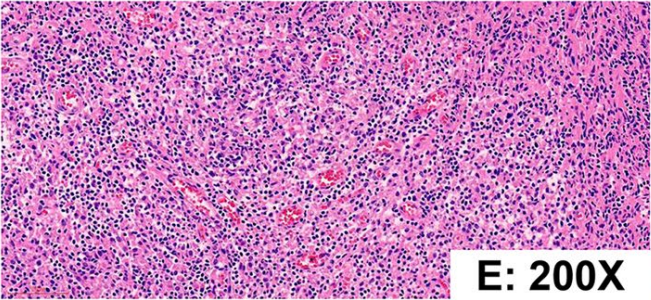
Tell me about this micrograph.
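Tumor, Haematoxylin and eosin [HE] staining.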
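A densely cellular field shows many small dark round nuclei mixed with clusters of larger cells that have pale pink cytoplasm and elongated or oval nuclei. The larger cells gather in loose groups and streams, giving the field a mottled pale-and-dark pattern. Small thin-walled vessels containing red blood cells are scattered throughout. The small dark cells are small lymphocytes growing diffusely, and the pale pink clusters are epithelioid histiocytes.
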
